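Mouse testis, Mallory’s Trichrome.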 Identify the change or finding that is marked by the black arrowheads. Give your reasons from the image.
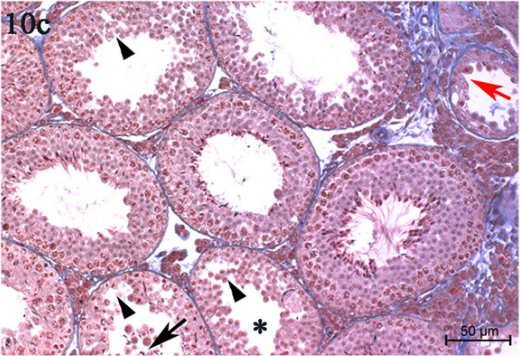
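Ruptures in the epithelium. The epithelial lining next to the arrowheads is broken and irregular. Gaps and detached fragments interrupt the inner border of the epithelium.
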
